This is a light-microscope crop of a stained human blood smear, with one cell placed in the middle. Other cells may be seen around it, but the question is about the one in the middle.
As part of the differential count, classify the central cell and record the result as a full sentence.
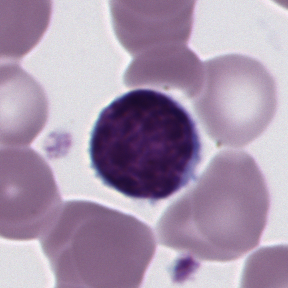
The cell shown in the center of this light-microscope crop is a typical lymphocyte.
